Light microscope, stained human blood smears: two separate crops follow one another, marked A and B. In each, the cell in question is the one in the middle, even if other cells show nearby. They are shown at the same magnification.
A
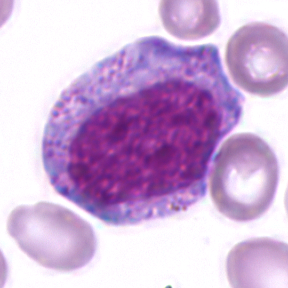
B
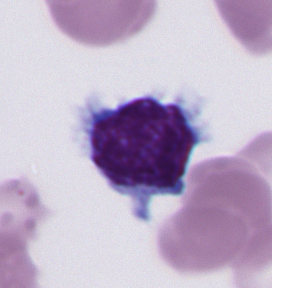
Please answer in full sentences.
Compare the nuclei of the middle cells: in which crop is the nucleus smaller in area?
The nucleus in crop B is smaller; the one in crop A has about 2 times its area.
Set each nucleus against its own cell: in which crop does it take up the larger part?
Of the two, the nucleus in crop B makes up the greater part of its cell.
